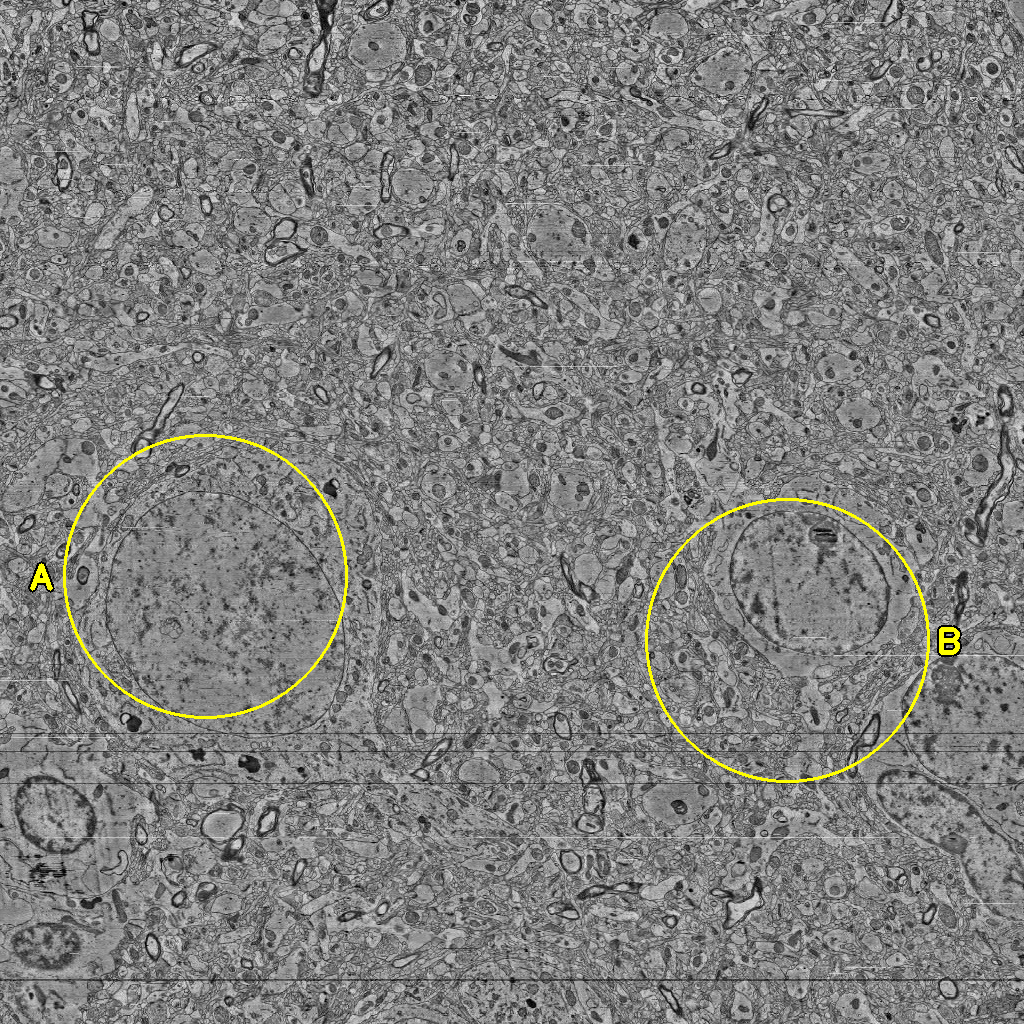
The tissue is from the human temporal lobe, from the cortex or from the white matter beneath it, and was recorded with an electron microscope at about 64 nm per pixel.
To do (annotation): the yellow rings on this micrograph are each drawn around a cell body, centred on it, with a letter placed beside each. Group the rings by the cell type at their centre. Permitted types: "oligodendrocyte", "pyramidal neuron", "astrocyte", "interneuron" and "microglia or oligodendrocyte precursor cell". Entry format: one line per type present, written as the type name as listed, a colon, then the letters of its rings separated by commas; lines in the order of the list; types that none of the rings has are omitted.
pyramidal neuron: A
astrocyte: B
